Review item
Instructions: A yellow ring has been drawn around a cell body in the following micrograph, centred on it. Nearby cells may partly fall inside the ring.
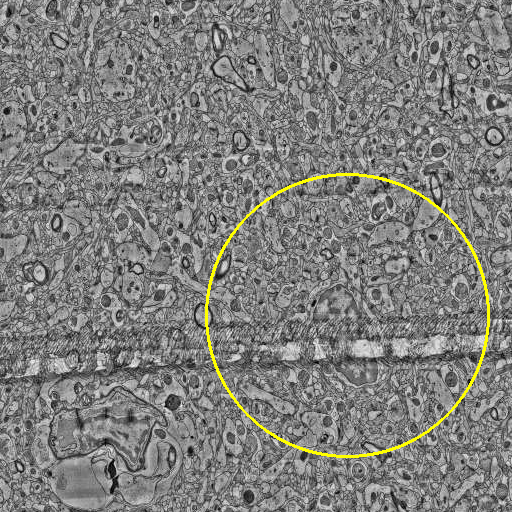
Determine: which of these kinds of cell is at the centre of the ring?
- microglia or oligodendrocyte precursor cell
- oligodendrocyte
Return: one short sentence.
The cell body in the middle of the ring is that of a microglial cell or oligodendrocyte precursor cell.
